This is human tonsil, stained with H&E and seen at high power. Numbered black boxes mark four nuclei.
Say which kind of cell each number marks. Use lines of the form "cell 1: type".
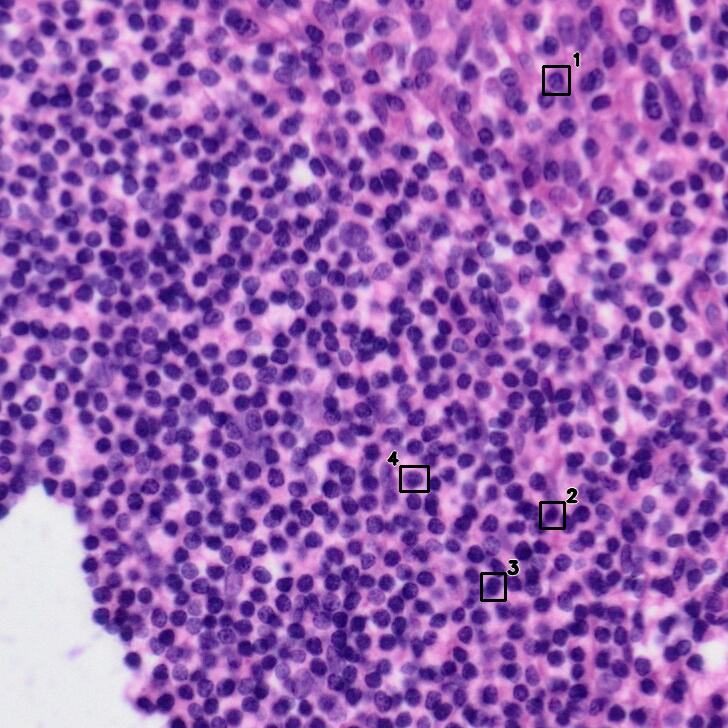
cell 1: plasma cell
cell 2: small lymphocyte
cell 3: small lymphocyte
cell 4: small lymphocyte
